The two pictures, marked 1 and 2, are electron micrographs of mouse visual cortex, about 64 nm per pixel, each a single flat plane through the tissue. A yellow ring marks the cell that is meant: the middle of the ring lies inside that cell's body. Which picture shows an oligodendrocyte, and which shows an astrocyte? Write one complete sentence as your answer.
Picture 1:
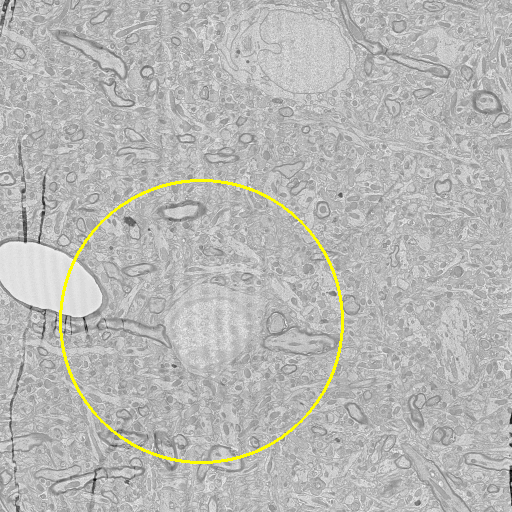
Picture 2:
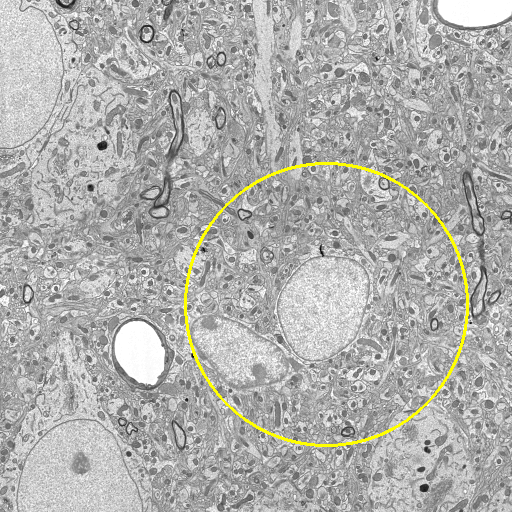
Picture 2 shows an astrocyte, while picture 1 shows an oligodendrocyte.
